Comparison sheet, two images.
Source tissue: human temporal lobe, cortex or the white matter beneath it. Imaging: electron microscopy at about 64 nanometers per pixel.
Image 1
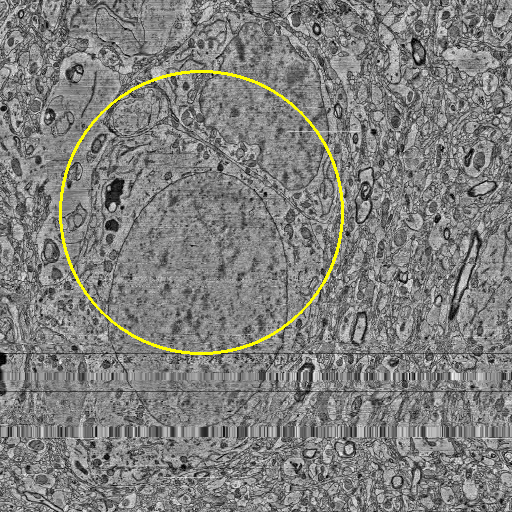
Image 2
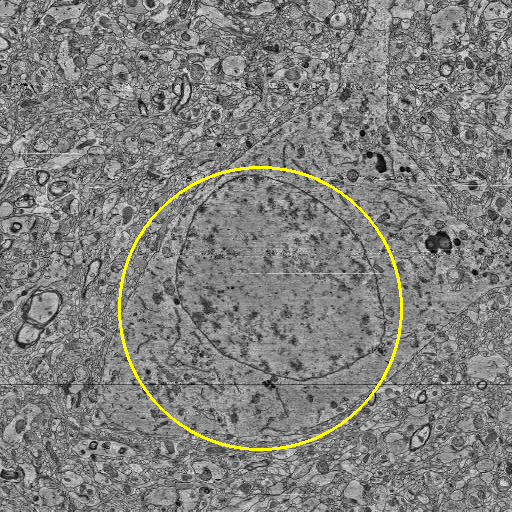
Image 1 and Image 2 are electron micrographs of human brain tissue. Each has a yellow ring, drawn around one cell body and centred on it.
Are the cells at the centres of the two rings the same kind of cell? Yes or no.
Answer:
yes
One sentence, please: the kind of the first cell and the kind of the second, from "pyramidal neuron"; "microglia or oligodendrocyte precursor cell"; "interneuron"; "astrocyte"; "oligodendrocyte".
In each picture the ringed cell is a pyramidal neuron.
